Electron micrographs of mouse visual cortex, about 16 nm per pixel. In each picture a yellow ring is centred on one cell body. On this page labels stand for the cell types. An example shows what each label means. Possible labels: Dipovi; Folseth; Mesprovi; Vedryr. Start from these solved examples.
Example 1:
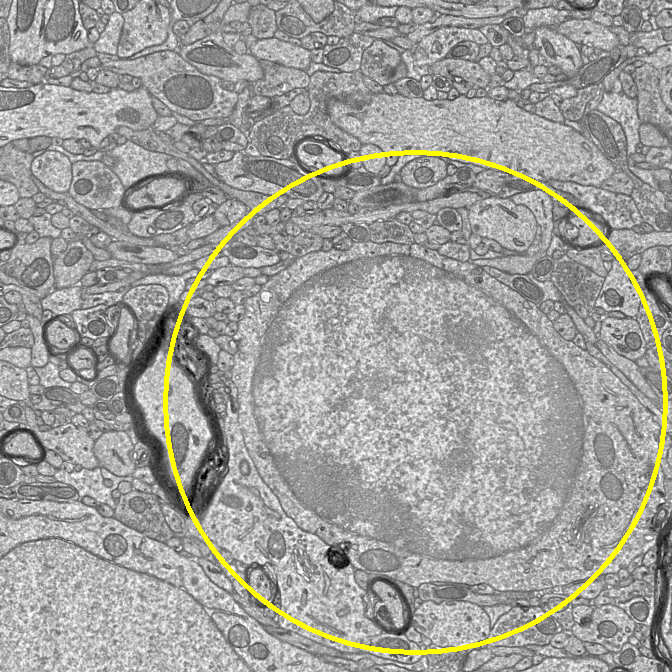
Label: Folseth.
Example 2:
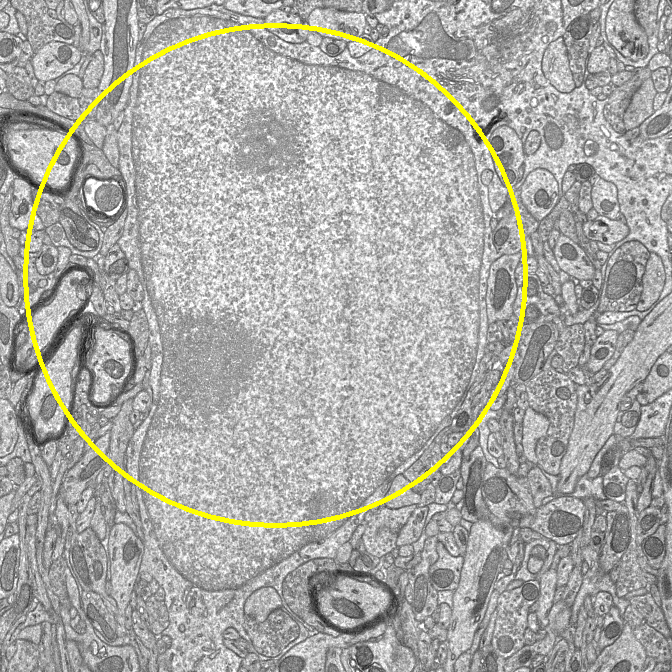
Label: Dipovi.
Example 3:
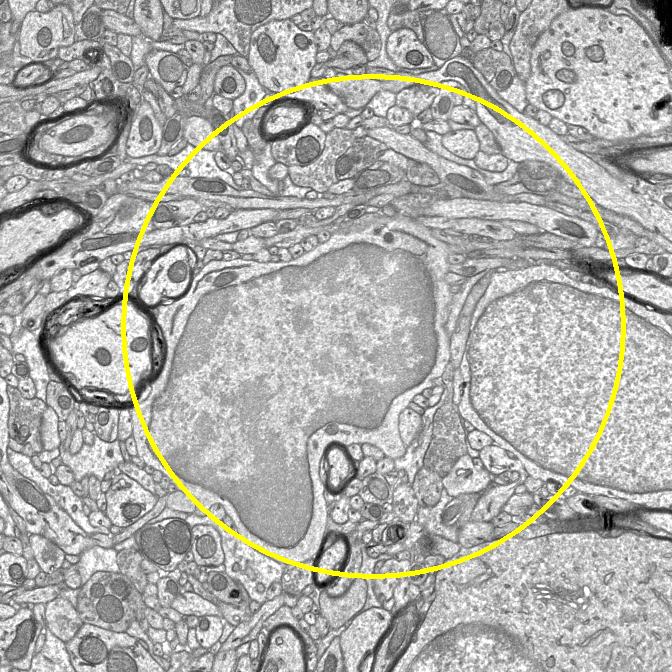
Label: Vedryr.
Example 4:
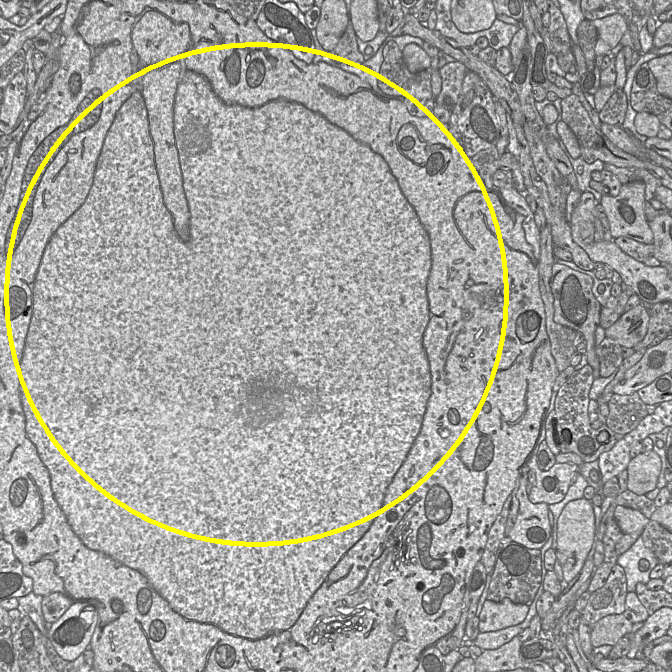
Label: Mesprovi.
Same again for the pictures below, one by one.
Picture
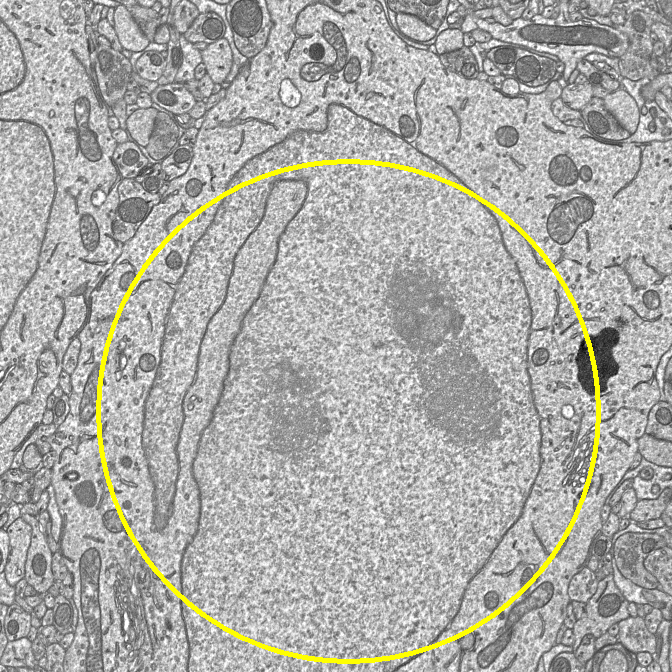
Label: Mesprovi.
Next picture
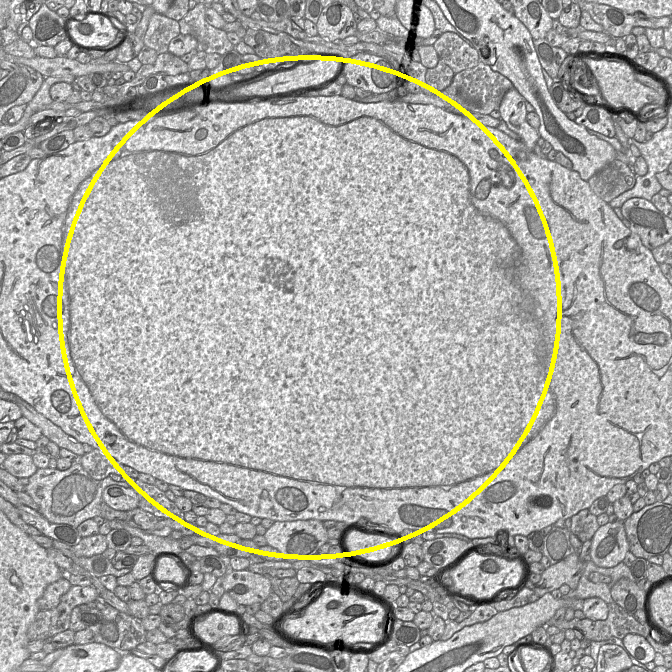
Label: Mesprovi.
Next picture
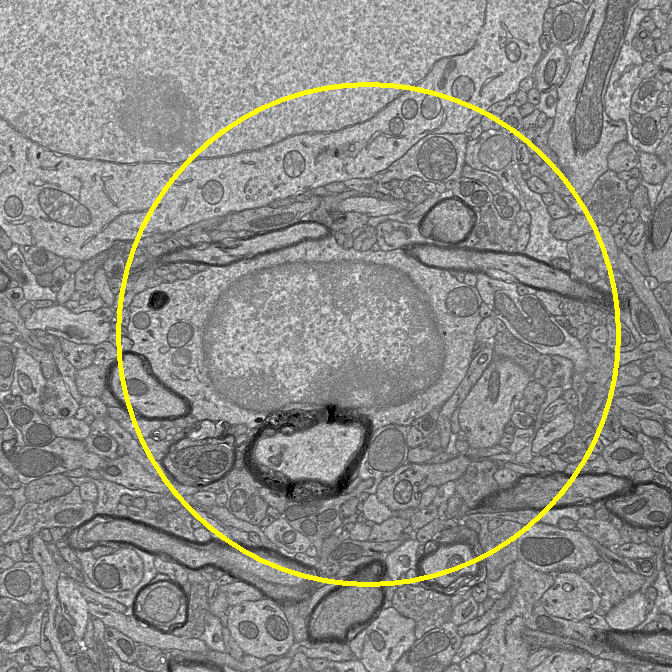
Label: Folseth.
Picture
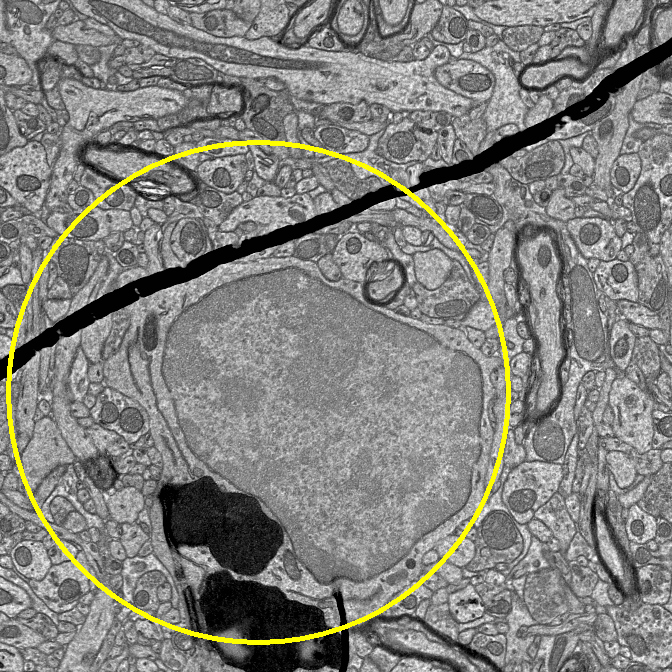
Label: Vedryr.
